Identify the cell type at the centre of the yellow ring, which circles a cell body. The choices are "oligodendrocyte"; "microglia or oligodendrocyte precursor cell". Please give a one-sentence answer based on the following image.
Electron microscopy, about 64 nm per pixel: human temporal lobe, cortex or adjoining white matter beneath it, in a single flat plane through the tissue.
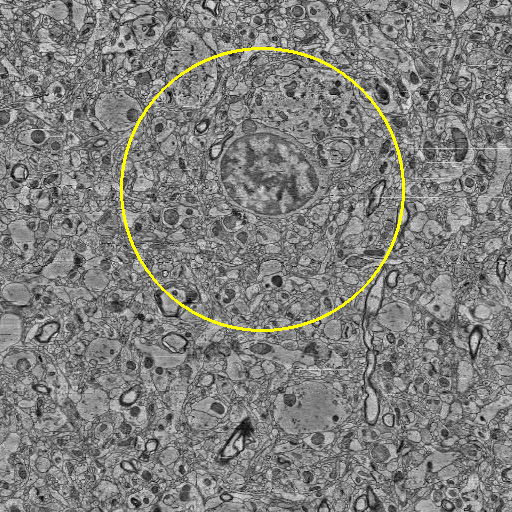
The cell marked by the ring is an oligodendrocyte.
